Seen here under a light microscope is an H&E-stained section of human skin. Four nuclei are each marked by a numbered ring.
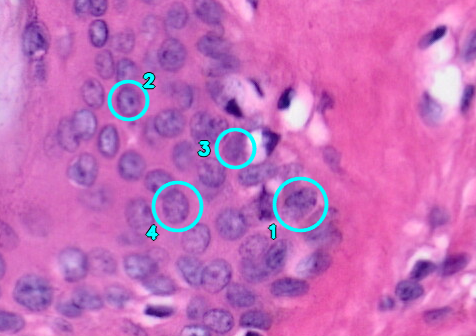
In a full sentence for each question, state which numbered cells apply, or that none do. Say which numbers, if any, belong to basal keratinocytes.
Cells 1 and 3 in the section are typed as basal keratinocytes.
